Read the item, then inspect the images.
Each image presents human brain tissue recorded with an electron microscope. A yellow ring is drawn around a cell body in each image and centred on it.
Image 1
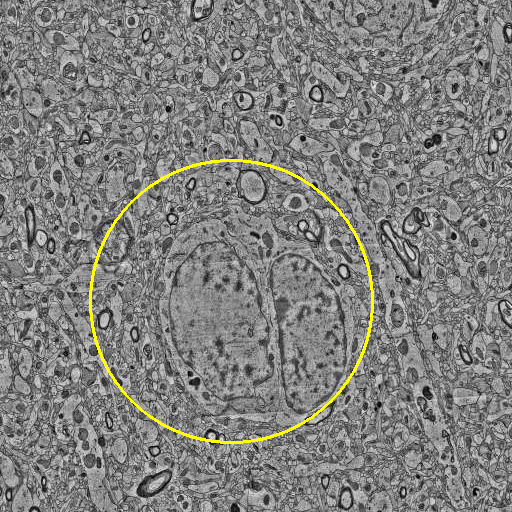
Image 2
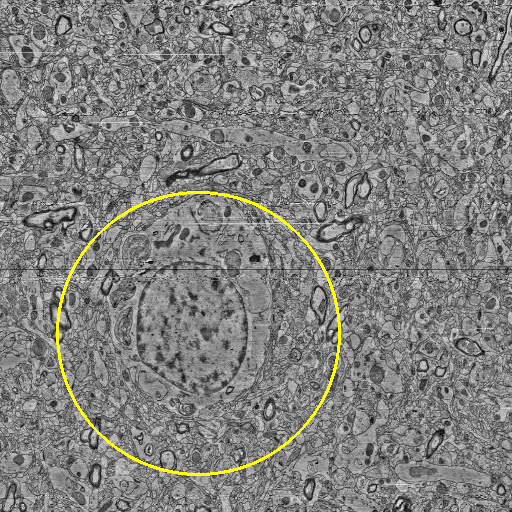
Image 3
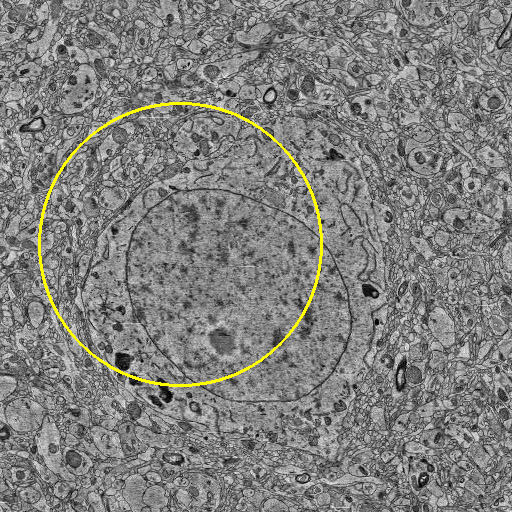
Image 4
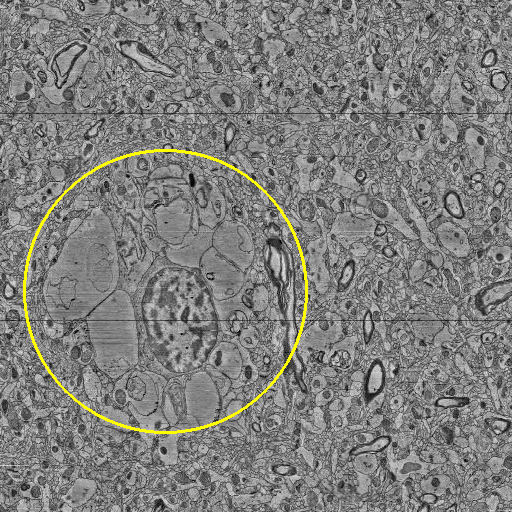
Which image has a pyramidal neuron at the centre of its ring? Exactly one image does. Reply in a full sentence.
The ring in Image 3 is centred on it.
